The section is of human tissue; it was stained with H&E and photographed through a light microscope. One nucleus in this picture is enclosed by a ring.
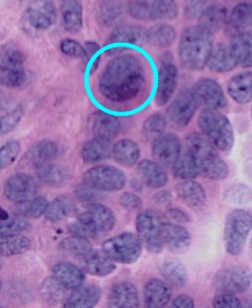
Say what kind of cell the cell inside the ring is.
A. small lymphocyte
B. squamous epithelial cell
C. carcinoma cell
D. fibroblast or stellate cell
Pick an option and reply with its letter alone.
C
